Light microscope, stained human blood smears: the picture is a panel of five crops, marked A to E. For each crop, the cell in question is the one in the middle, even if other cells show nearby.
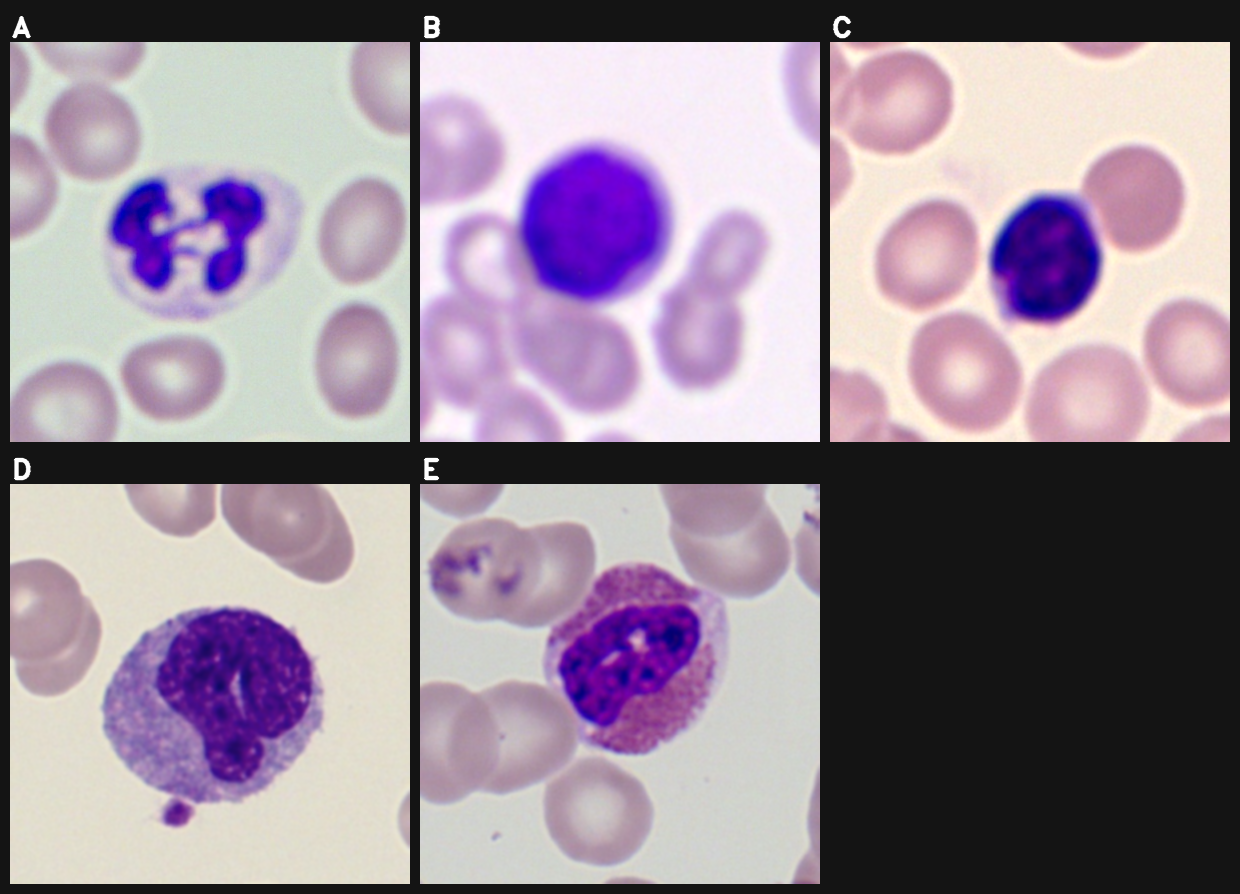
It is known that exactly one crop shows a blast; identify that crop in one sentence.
Crop B is where a blast is shown.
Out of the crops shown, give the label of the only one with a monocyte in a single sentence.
That would be crop D; it shows a monocyte.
